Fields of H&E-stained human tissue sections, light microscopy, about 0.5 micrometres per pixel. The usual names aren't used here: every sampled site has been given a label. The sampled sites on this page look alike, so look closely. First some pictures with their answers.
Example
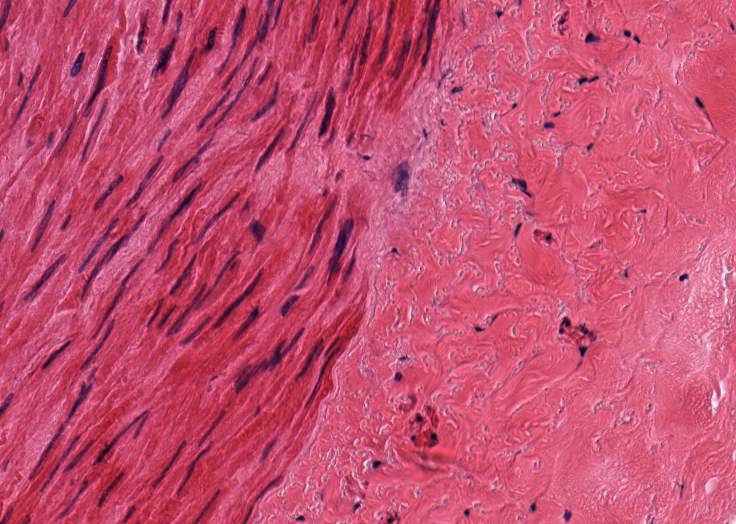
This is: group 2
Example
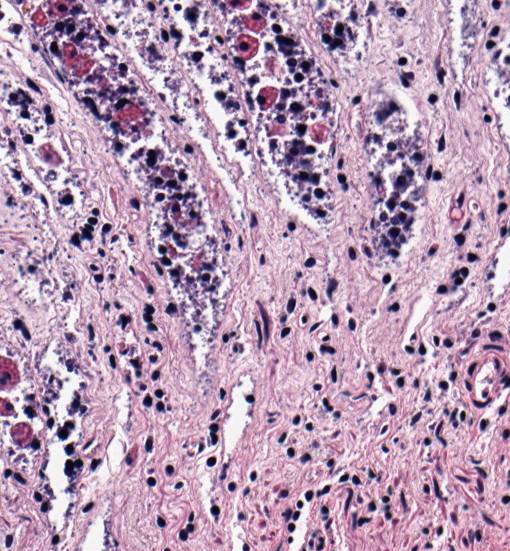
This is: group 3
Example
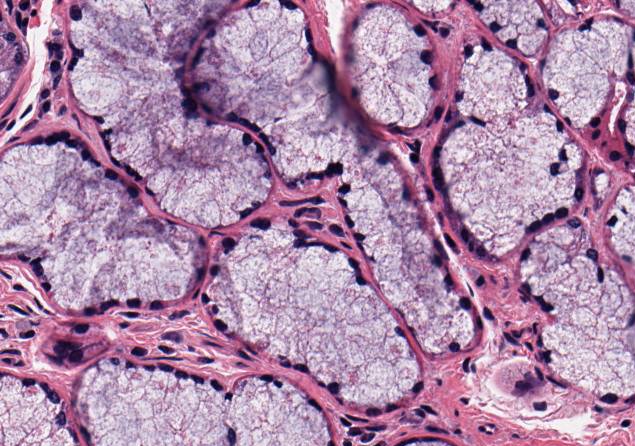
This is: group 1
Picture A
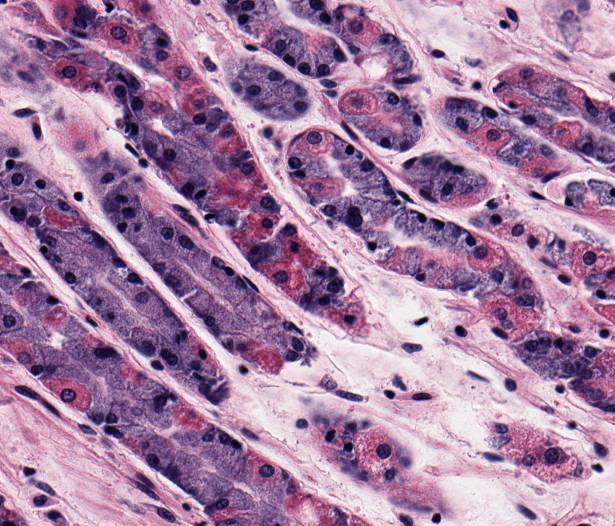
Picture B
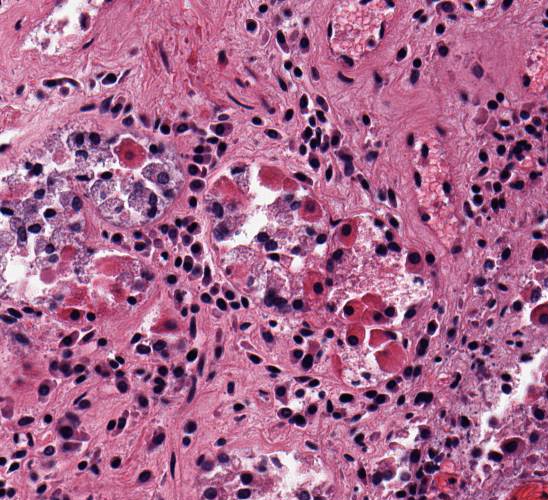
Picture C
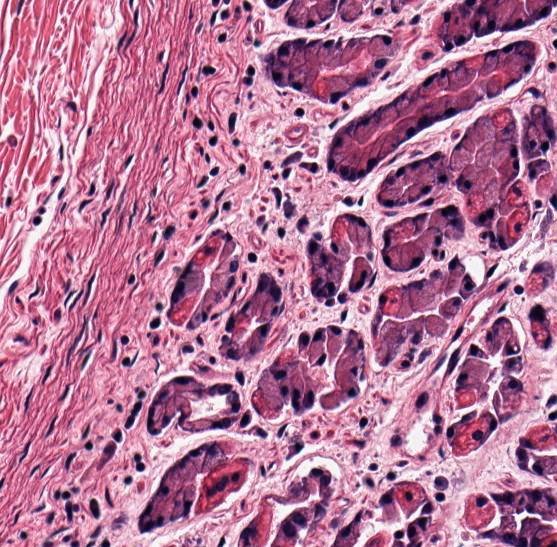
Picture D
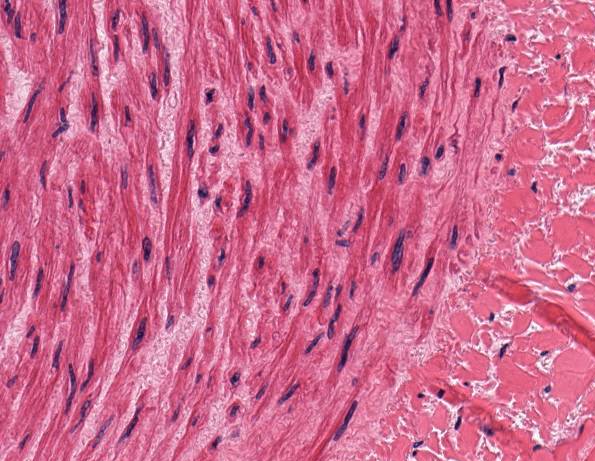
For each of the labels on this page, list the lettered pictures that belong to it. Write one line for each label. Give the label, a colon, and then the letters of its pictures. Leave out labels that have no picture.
group 2: D
group 3: A, B, C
